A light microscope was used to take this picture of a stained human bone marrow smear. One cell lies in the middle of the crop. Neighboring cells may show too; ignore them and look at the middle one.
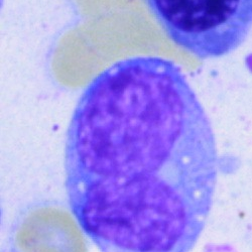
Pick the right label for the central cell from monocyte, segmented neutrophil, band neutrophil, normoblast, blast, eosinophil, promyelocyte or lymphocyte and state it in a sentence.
This particular crop is centered on a monocyte.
